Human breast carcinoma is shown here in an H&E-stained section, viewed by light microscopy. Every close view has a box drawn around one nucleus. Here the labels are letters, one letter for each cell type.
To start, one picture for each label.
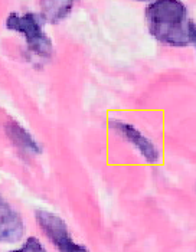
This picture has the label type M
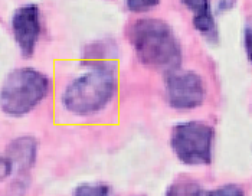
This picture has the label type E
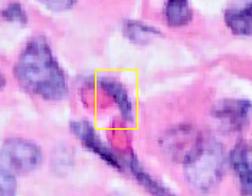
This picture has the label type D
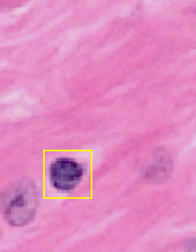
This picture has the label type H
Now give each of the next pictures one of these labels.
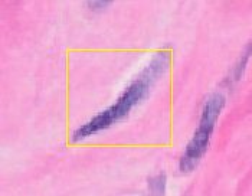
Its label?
type M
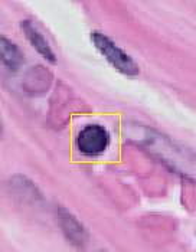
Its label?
type H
